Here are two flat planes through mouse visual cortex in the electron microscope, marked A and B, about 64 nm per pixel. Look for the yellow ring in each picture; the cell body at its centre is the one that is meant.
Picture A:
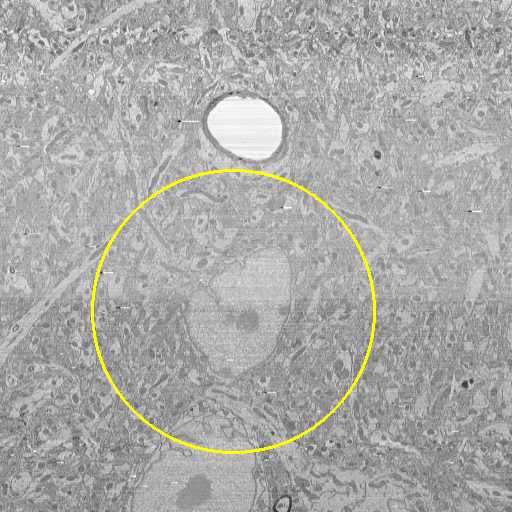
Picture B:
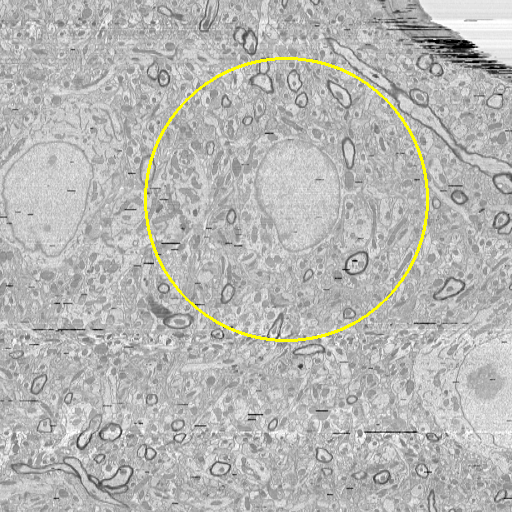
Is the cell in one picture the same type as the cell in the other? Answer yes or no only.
yes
